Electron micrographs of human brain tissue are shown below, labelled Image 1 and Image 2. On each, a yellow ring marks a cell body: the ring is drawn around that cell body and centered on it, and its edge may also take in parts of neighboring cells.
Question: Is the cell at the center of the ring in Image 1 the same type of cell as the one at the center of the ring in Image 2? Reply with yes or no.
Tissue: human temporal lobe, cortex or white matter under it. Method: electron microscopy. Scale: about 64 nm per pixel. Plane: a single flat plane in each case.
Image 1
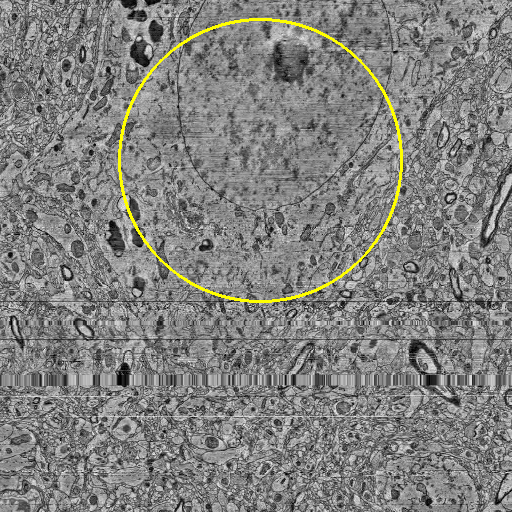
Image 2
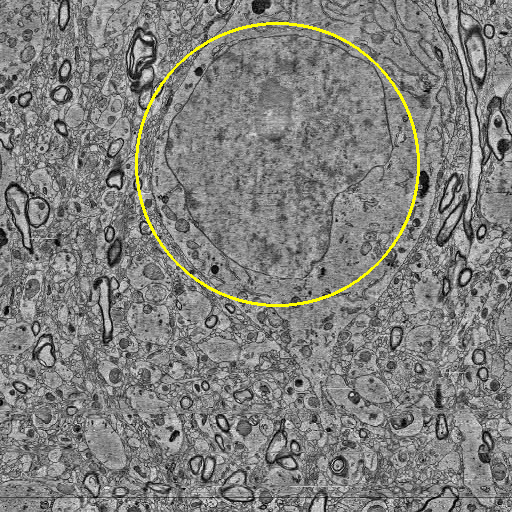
yes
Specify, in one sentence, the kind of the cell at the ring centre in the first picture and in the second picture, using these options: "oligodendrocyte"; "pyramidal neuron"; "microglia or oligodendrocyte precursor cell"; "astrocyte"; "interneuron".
Each of the ringed cells, first and second, is a pyramidal neuron.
